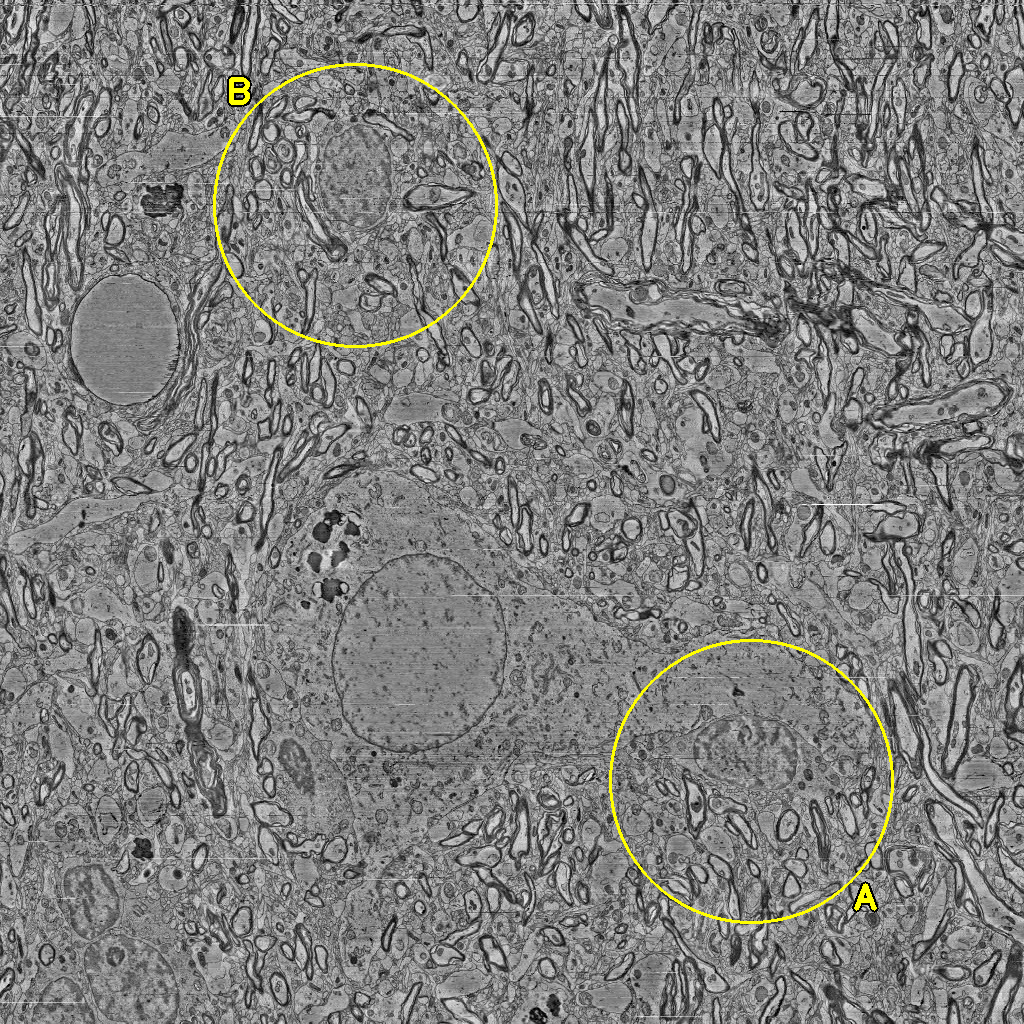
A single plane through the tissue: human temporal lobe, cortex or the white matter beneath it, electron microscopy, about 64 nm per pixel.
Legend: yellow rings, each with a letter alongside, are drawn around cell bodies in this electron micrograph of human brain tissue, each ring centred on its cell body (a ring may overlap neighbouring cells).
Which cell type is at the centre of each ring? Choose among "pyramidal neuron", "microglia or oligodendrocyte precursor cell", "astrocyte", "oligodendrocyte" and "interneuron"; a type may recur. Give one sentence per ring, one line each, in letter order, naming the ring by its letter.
Ring A has an oligodendrocyte at its centre.
Ring B has an oligodendrocyte at its centre.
